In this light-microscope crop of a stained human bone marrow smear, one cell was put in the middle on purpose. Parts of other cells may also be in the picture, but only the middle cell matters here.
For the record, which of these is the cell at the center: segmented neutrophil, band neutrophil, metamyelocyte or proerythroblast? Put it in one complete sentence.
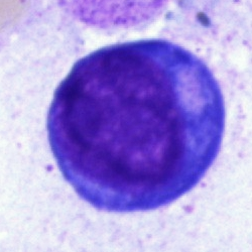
The cell under consideration, at the middle of the crop, is a proerythroblast.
